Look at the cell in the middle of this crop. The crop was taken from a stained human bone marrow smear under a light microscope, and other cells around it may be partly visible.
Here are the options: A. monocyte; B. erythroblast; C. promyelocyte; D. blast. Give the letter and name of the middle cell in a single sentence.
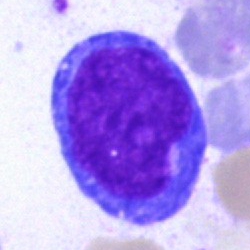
The one cell at the centre is a blast, as correctly stated in option D.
